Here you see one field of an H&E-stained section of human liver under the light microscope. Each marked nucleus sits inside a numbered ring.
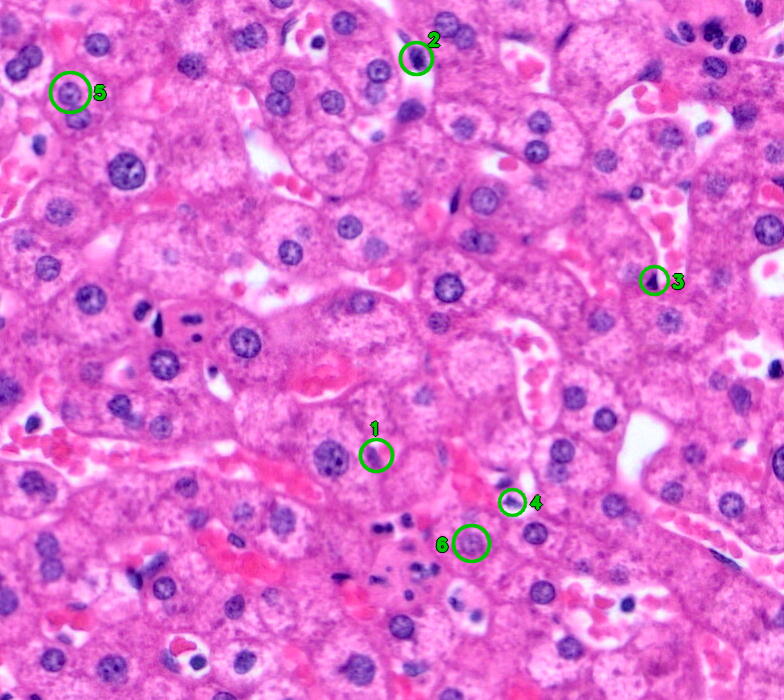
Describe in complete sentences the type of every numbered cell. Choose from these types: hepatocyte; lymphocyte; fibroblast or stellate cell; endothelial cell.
Cell 1 is an endothelial cell, cell 2 is a lymphocyte, cell 3 is a fibroblast or stellate cell, cell 4 is a lymphocyte, cell 5 is a hepatocyte and cell 6 is a hepatocyte.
